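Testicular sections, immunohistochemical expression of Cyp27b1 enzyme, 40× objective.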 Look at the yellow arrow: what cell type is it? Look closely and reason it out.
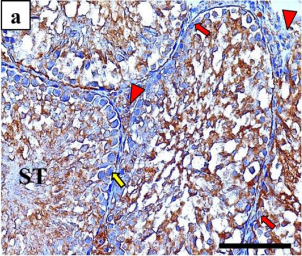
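Spermatogonia. The marked cell sits on the basal lamina at the periphery of the tubule. It has a round nucleus in the outermost layer of the germinal epithelium.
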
